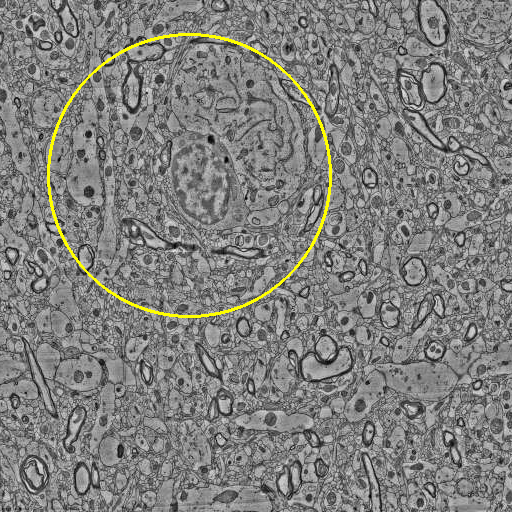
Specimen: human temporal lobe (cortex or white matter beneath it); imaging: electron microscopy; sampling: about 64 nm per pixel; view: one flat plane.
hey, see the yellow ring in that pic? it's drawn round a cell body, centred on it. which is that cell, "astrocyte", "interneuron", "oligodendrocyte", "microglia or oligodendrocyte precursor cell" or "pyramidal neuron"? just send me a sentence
The cell in the ring is an oligodendrocyte.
